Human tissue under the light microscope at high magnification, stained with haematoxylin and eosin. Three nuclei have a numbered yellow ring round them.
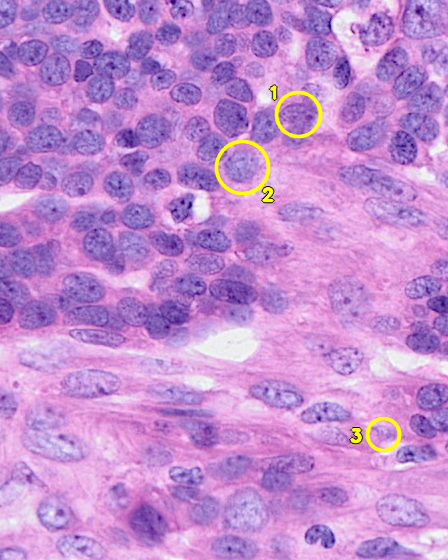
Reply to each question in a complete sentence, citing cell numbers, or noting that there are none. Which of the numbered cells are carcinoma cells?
The cells identified by the numbers 1 and 2 are carcinoma cells.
